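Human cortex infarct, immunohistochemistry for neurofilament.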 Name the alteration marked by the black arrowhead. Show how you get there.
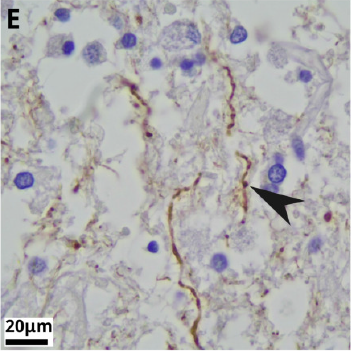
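Isolated brown fibres run through a loose, pale background. The fibre at the arrowhead is irregular with focal swellings.
Neurite beading.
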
